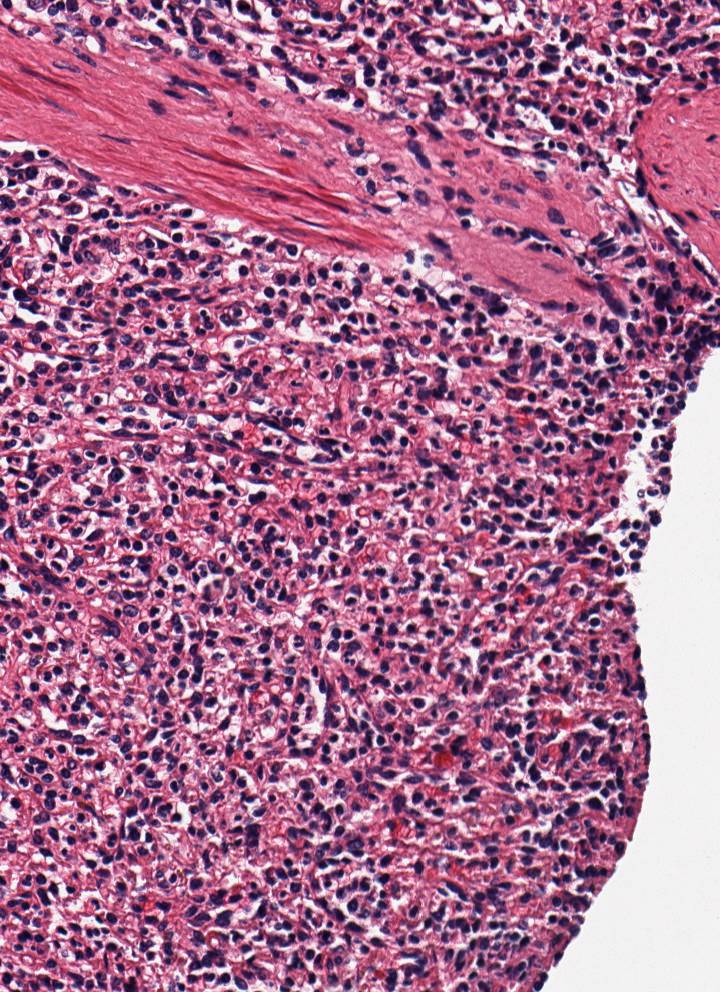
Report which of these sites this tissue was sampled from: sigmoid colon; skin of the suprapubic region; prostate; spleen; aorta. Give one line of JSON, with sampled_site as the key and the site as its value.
{"sampled_site": "spleen"}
